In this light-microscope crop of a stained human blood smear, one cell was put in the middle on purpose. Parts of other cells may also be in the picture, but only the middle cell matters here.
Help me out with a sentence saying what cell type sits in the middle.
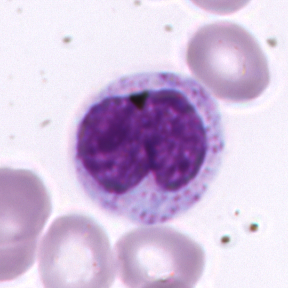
The crop's centre is taken up by a metamyelocyte.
